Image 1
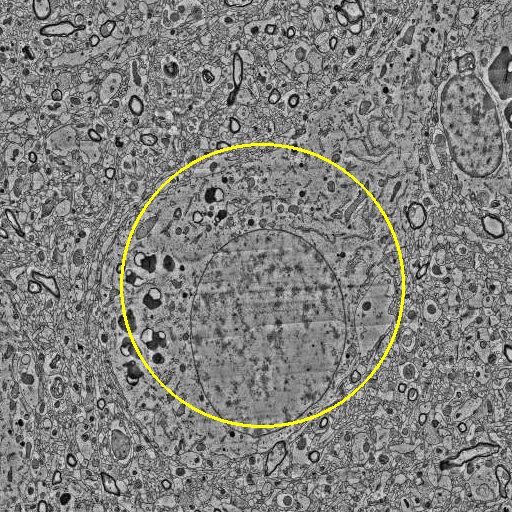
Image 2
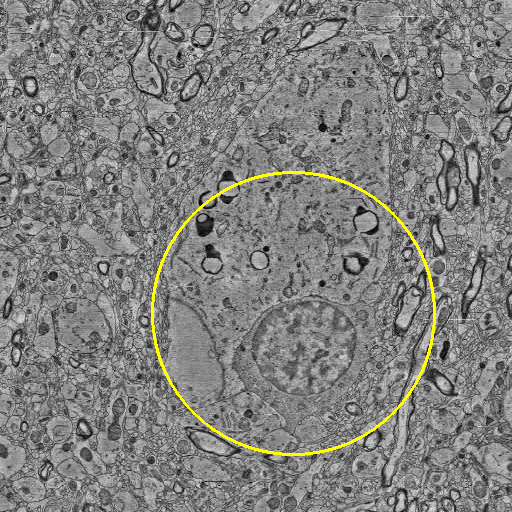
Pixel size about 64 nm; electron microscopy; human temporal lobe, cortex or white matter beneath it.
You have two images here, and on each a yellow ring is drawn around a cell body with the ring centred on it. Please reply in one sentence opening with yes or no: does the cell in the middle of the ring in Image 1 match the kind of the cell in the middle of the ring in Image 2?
No, the two images show cells of two kinds at the centres of their rings.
